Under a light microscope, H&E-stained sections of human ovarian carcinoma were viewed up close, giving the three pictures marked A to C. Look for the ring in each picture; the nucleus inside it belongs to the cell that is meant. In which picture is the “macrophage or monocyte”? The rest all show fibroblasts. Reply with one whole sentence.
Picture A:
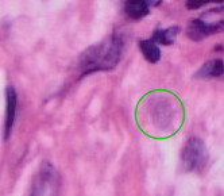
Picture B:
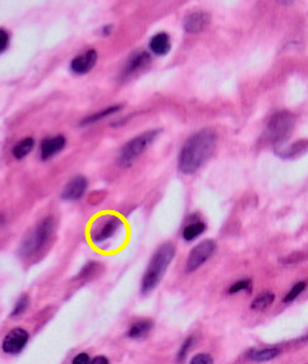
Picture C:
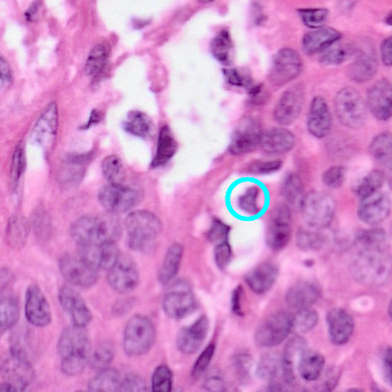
The cell in picture C is the “macrophage or monocyte”.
